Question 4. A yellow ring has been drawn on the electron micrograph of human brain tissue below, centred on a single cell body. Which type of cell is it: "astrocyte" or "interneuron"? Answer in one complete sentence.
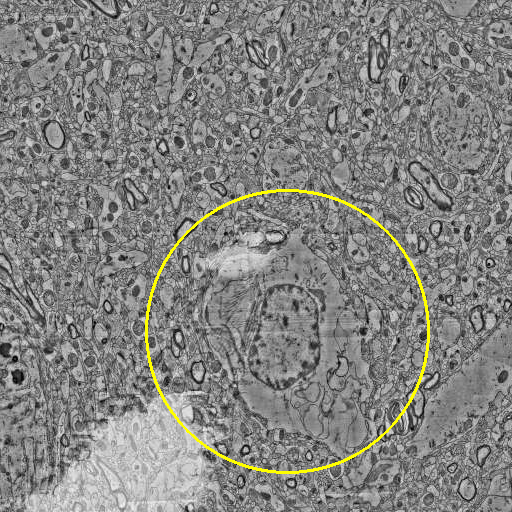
This cell body belongs to an astrocyte.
